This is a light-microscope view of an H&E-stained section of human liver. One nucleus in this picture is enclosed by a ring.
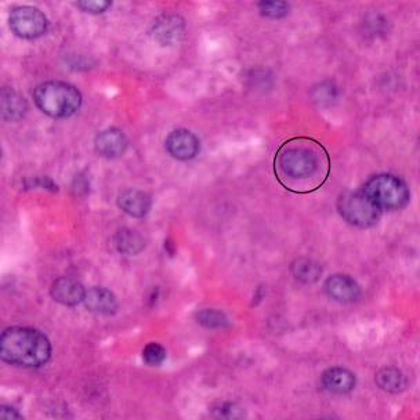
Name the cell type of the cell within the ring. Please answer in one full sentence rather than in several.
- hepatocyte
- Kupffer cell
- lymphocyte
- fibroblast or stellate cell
Recorded by type, the cell within the ring is a hepatocyte.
